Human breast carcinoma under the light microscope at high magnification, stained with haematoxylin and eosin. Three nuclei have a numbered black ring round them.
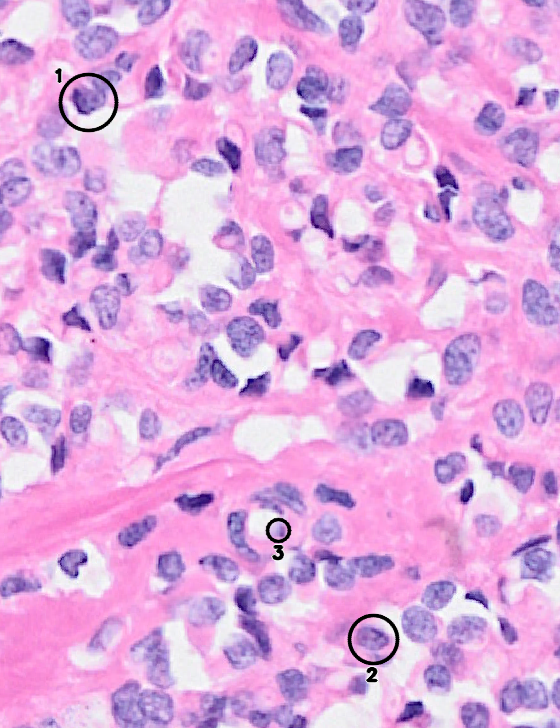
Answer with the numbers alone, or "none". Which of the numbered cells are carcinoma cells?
1, 2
